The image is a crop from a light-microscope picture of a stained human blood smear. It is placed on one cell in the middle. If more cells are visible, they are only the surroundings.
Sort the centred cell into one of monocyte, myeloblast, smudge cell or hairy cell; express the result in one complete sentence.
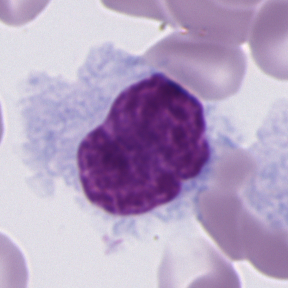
The middle of this crop is occupied by a hairy cell.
